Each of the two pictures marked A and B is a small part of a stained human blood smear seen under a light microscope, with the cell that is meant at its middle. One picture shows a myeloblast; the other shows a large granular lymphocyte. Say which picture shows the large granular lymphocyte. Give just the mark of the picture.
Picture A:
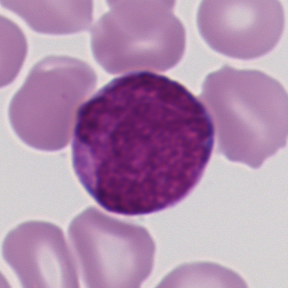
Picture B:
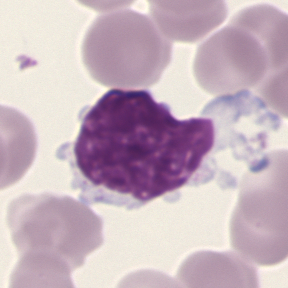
B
